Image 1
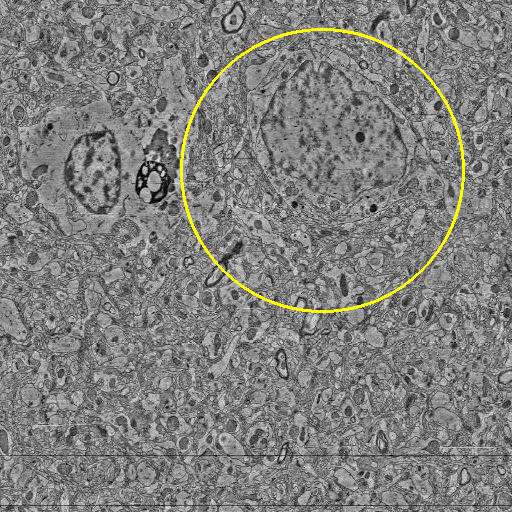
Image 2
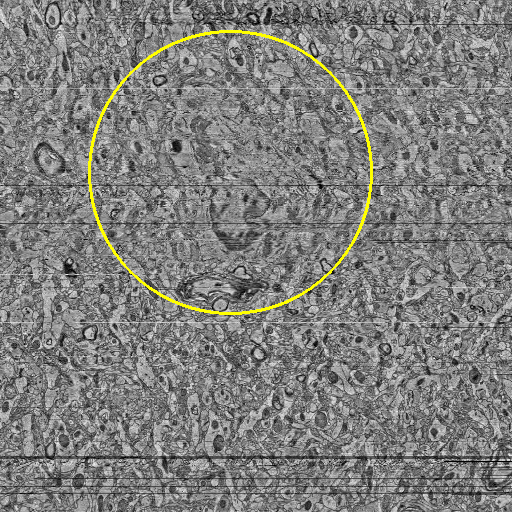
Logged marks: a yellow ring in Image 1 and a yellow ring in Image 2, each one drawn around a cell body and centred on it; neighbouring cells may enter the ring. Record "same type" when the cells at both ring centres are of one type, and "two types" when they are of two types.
two types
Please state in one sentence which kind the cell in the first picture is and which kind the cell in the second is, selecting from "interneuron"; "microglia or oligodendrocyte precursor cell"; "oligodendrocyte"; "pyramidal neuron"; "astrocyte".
The first ringed cell is an interneuron, the second ringed cell a microglial cell or oligodendrocyte precursor cell.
